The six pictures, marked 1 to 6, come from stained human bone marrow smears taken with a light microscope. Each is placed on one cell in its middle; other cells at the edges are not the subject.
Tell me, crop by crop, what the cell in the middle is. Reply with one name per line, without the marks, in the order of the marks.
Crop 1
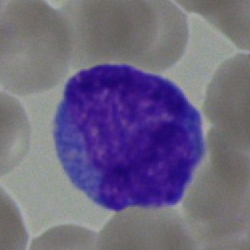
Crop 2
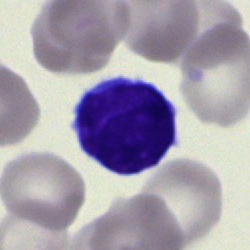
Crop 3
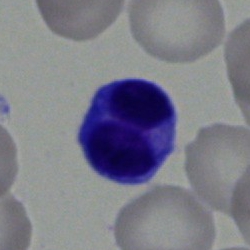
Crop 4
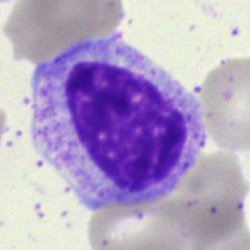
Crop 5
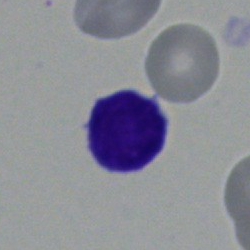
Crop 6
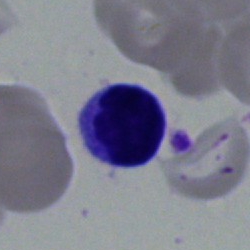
blast
lymphocyte
lymphocyte
myelocyte
lymphocyte
lymphocyte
